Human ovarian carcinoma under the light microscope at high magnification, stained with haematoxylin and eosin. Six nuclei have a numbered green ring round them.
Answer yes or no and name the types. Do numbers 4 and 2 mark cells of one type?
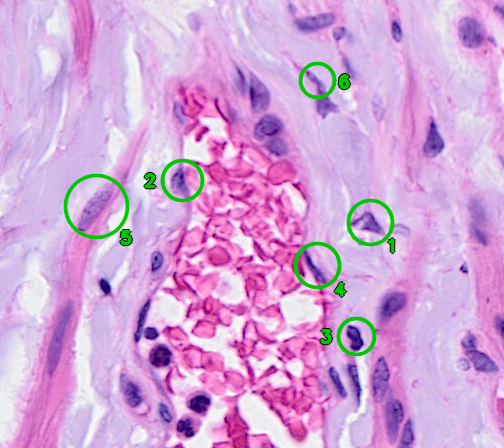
Yes, cell 4 is among the endothelial cells, and cell 2 is as well.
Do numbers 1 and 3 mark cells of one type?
No, mate, cell 1 is a fibroblast and cell 3 is a lymphocyte.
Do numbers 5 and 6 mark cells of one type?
No, cell 5 is a smooth muscle cell, while a fibroblast is what cell 6 is.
